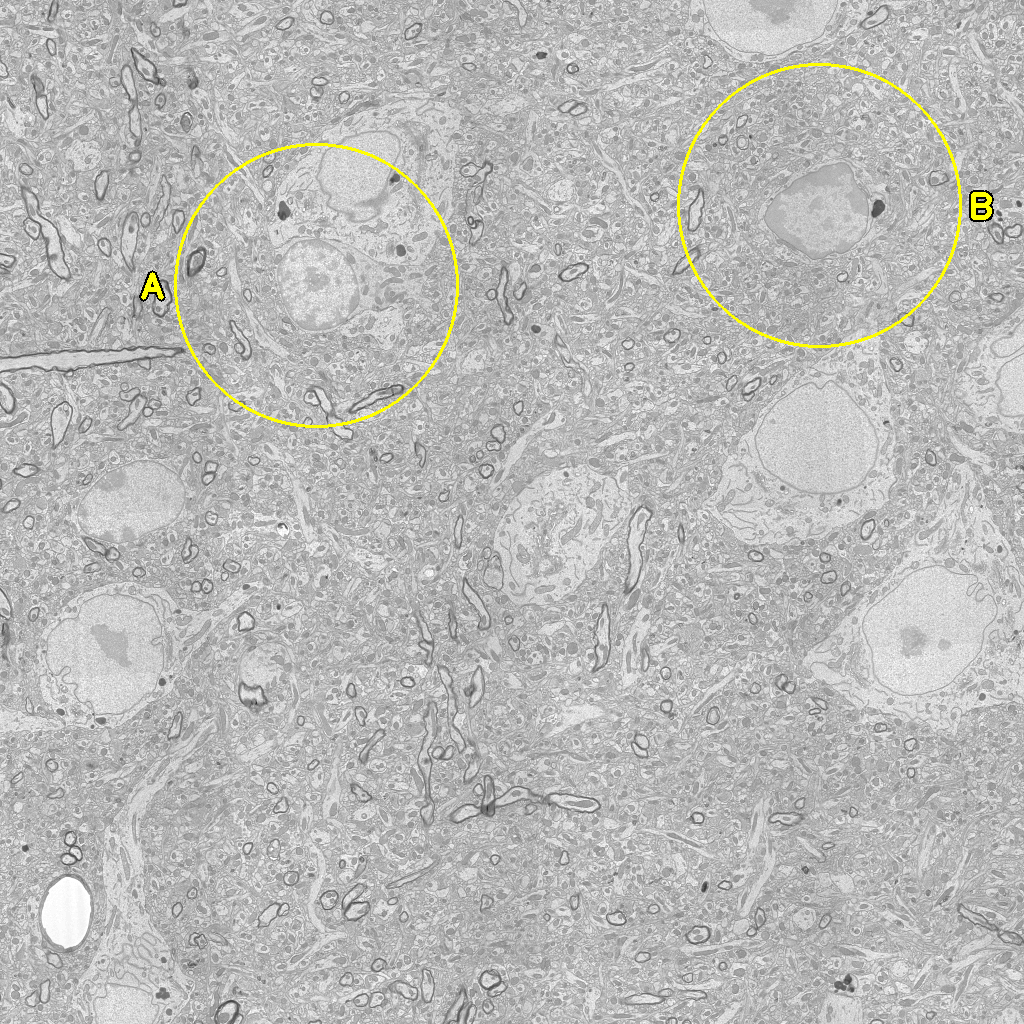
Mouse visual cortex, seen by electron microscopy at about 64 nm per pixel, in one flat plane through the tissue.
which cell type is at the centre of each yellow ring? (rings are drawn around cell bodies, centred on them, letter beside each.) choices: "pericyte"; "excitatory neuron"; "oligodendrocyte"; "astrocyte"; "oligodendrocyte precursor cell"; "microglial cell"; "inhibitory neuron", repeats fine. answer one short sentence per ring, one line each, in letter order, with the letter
Ring A is an oligodendrocyte.
Ring B is a microglial cell.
